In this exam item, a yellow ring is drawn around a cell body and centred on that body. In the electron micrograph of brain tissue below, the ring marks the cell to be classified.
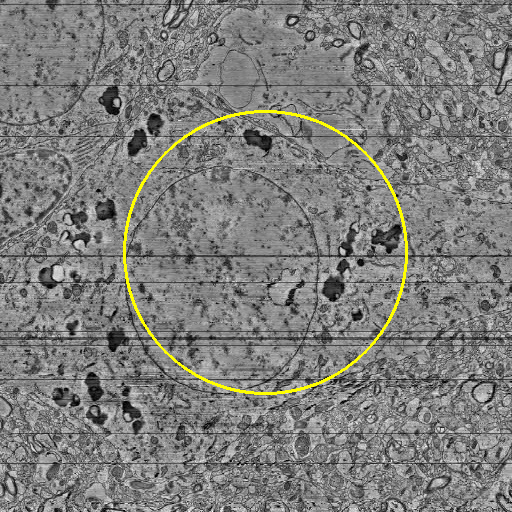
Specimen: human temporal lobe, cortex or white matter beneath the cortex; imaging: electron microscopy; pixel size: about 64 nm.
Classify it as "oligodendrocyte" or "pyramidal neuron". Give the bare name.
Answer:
pyramidal neuron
